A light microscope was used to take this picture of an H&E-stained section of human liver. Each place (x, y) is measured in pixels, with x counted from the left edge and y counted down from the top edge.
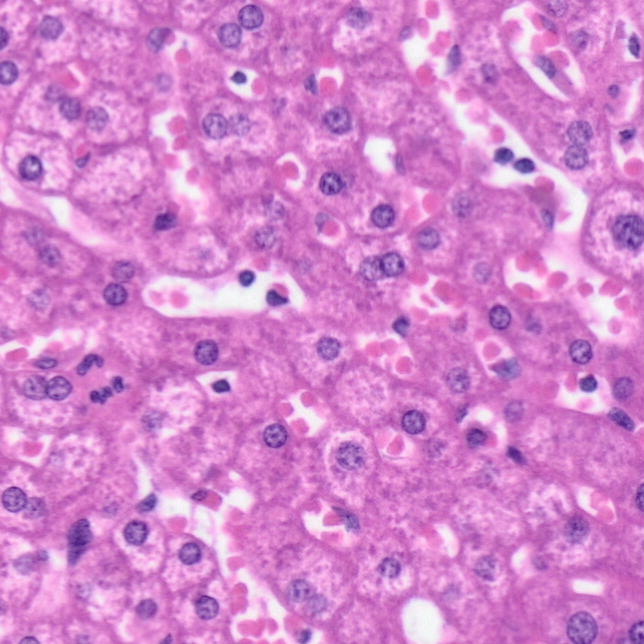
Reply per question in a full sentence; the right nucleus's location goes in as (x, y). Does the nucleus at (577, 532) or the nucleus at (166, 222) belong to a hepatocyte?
Among the two nuclei, the one found at (577, 532) belongs to a hepatocyte.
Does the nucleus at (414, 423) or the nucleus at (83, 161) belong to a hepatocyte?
The nucleus of a hepatocyte is the one found at (414, 423), not the other.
